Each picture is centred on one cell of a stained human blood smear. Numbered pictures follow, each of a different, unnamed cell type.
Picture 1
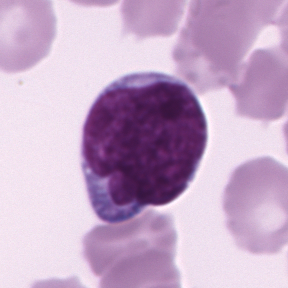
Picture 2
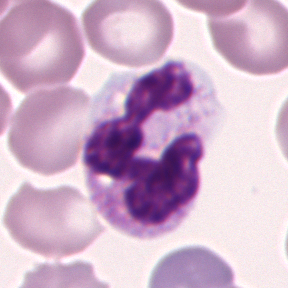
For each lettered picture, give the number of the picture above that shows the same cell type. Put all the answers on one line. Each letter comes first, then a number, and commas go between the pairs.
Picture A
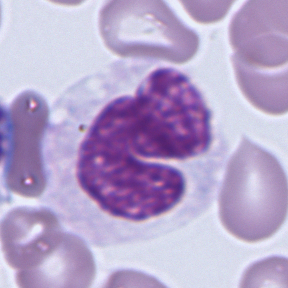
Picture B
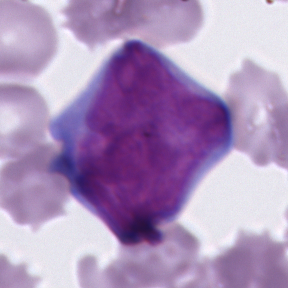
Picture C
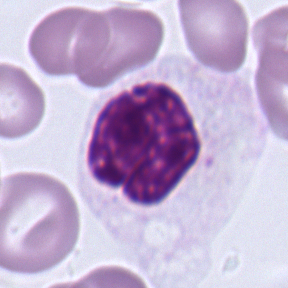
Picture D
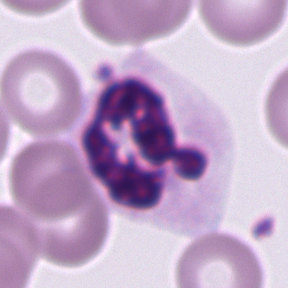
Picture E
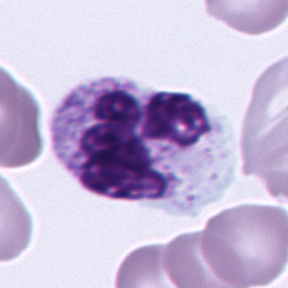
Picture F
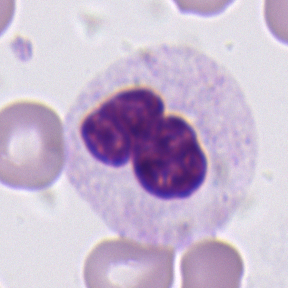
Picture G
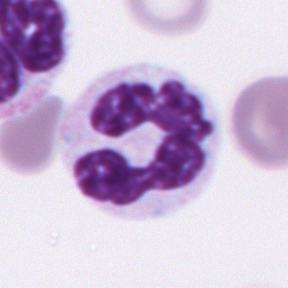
A 2, B 1, C 2, D 2, E 2, F 2, G 2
